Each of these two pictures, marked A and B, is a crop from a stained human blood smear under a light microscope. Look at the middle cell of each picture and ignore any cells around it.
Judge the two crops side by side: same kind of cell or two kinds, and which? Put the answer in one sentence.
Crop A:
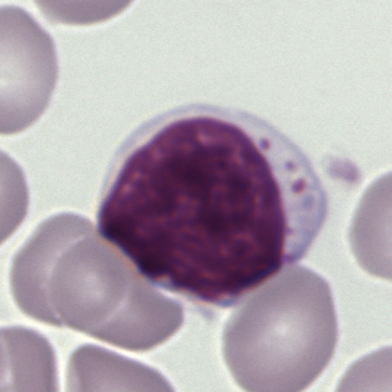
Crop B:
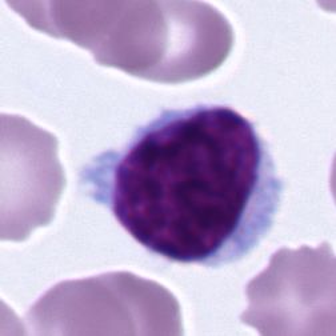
No, the cell centred in crop B is a hairy cell; crop A centres on a large granular lymphocyte.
